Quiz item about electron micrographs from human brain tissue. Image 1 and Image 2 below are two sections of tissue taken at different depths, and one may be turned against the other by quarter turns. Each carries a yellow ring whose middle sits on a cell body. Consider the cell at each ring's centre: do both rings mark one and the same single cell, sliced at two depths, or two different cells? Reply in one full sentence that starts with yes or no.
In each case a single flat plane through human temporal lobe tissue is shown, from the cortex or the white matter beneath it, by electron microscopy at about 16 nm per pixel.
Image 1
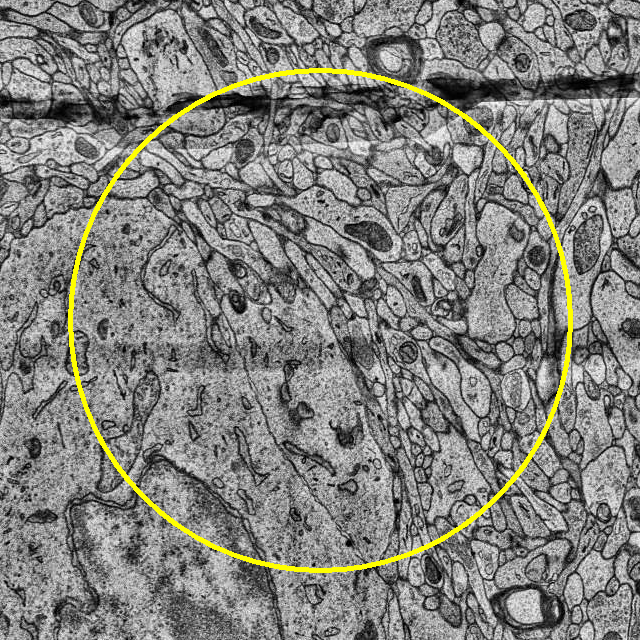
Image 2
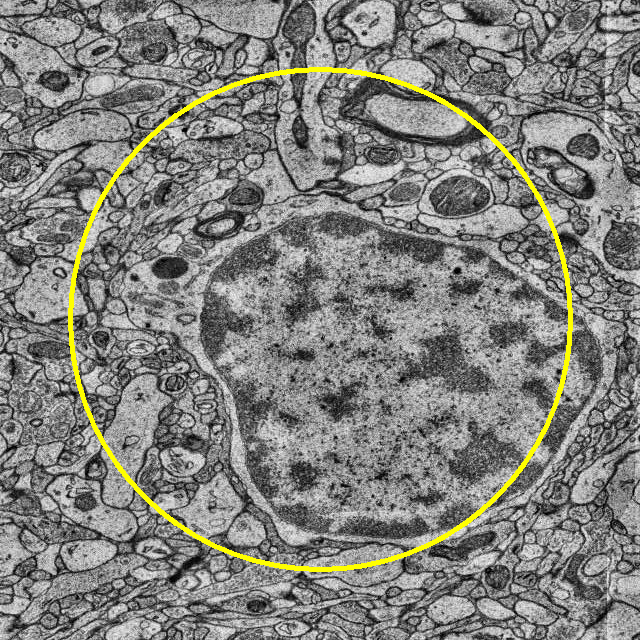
No, a different cell sits inside each of the two rings.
